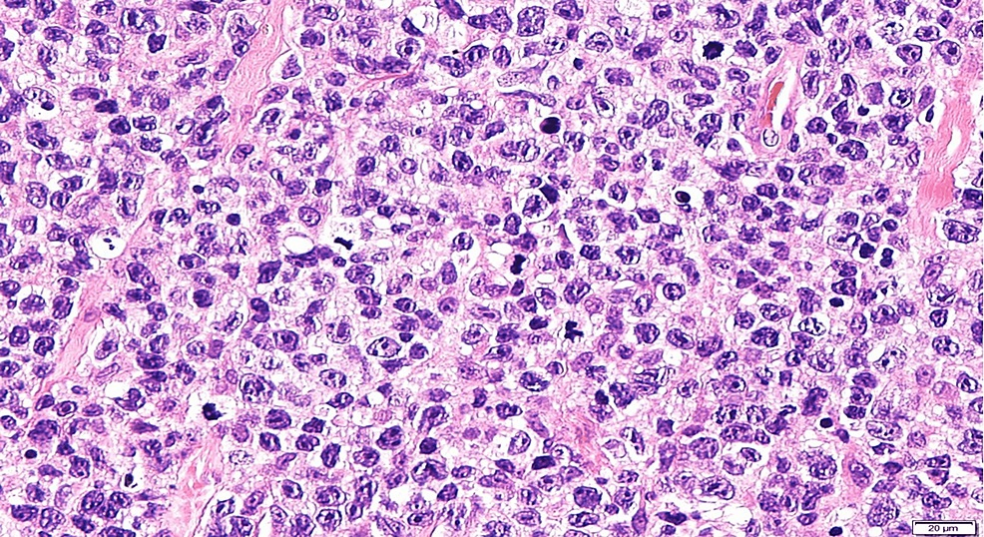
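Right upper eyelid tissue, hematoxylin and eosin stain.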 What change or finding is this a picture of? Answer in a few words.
Atypical lymphoid cells arranged in sheets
